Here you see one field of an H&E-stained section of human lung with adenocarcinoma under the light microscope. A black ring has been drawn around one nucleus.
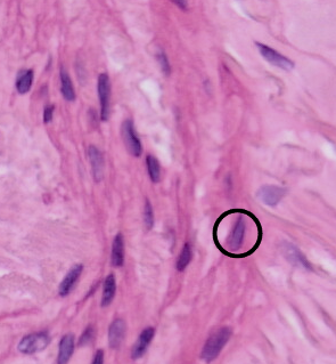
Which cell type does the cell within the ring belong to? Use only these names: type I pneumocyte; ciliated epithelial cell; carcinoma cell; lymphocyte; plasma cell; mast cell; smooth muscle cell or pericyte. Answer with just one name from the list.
smooth muscle cell or pericyte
